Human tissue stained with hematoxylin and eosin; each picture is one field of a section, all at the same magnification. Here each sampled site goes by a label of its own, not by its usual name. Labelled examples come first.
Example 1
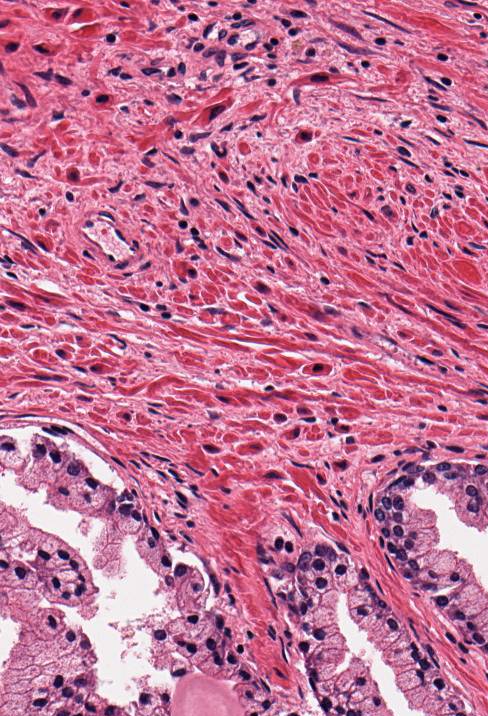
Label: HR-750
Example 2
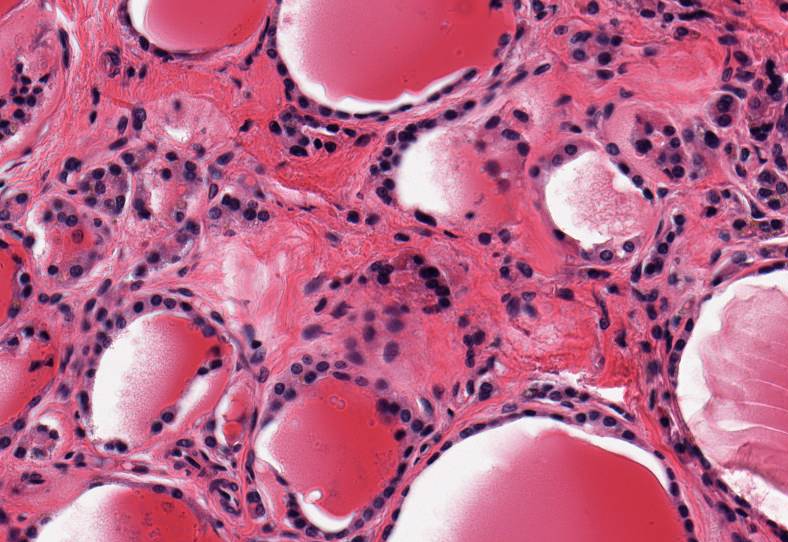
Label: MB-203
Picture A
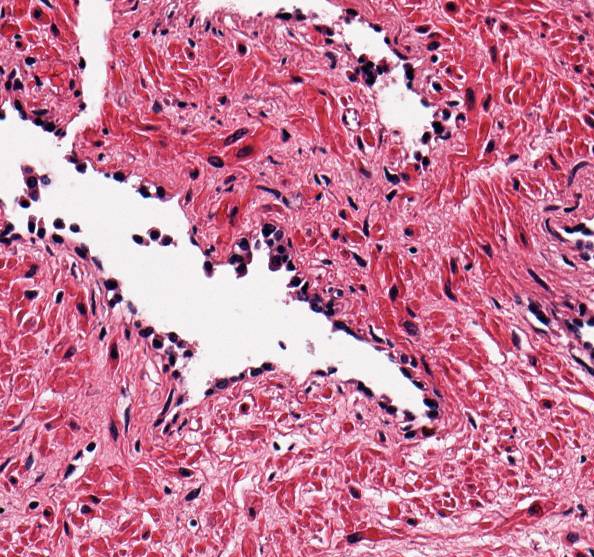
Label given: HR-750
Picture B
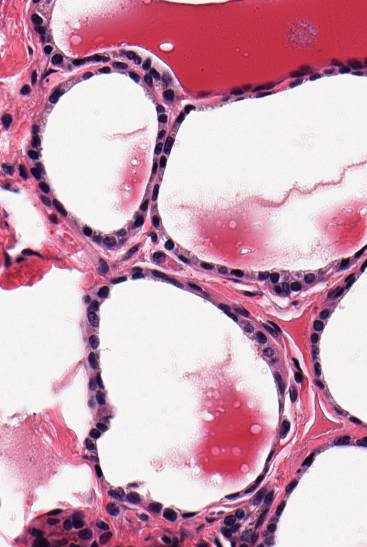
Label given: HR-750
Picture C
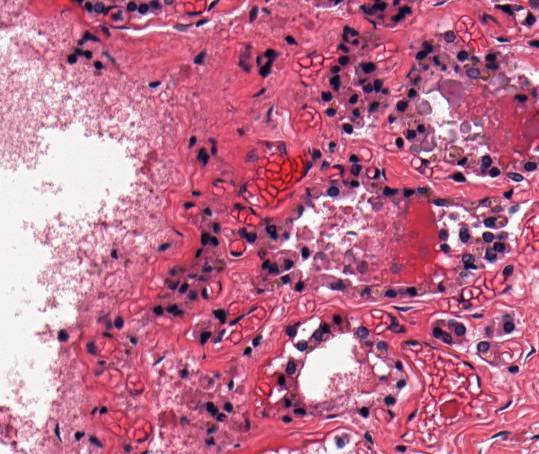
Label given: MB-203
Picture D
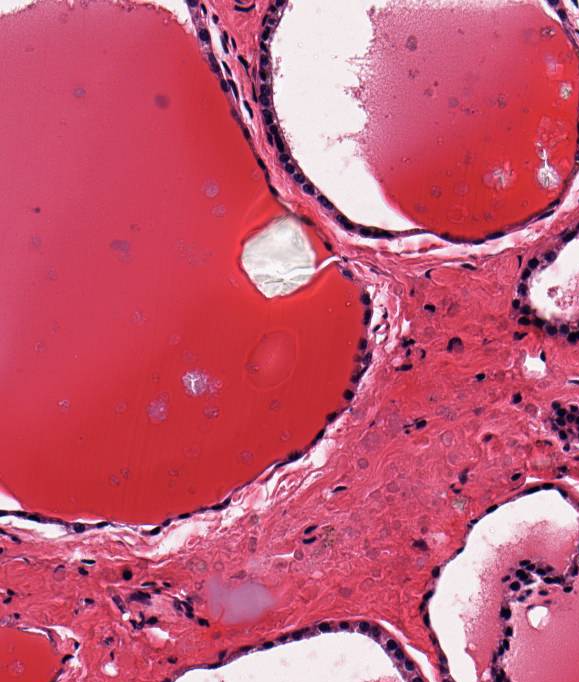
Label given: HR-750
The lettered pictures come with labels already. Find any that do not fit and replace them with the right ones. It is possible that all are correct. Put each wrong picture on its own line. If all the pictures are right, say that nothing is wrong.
B: change HR-750 to MB-203
D: change HR-750 to MB-203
